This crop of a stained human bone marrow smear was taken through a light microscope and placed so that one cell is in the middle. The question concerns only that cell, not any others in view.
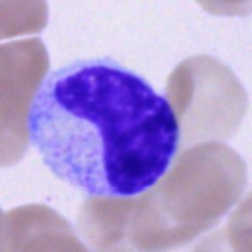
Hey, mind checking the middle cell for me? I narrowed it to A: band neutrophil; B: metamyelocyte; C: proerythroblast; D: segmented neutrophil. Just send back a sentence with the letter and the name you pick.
Option B gets it right: the cell in the middle is a metamyelocyte.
